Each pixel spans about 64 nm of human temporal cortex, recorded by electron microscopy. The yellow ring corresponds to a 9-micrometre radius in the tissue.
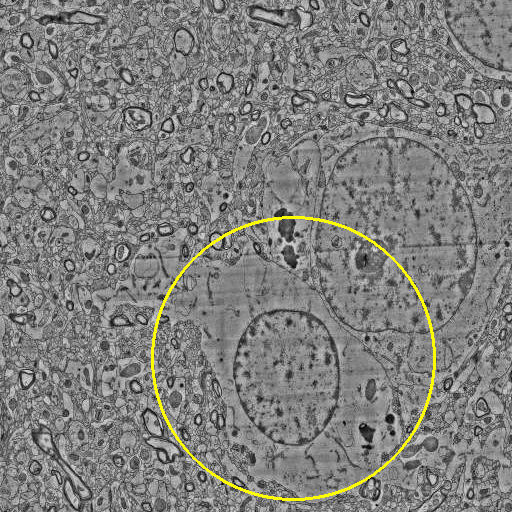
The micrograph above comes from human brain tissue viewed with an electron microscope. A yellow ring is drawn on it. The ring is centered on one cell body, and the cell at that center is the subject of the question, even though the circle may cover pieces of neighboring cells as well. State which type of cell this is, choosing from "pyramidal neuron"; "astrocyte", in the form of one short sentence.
The cell the ring is centered on is an astrocyte.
